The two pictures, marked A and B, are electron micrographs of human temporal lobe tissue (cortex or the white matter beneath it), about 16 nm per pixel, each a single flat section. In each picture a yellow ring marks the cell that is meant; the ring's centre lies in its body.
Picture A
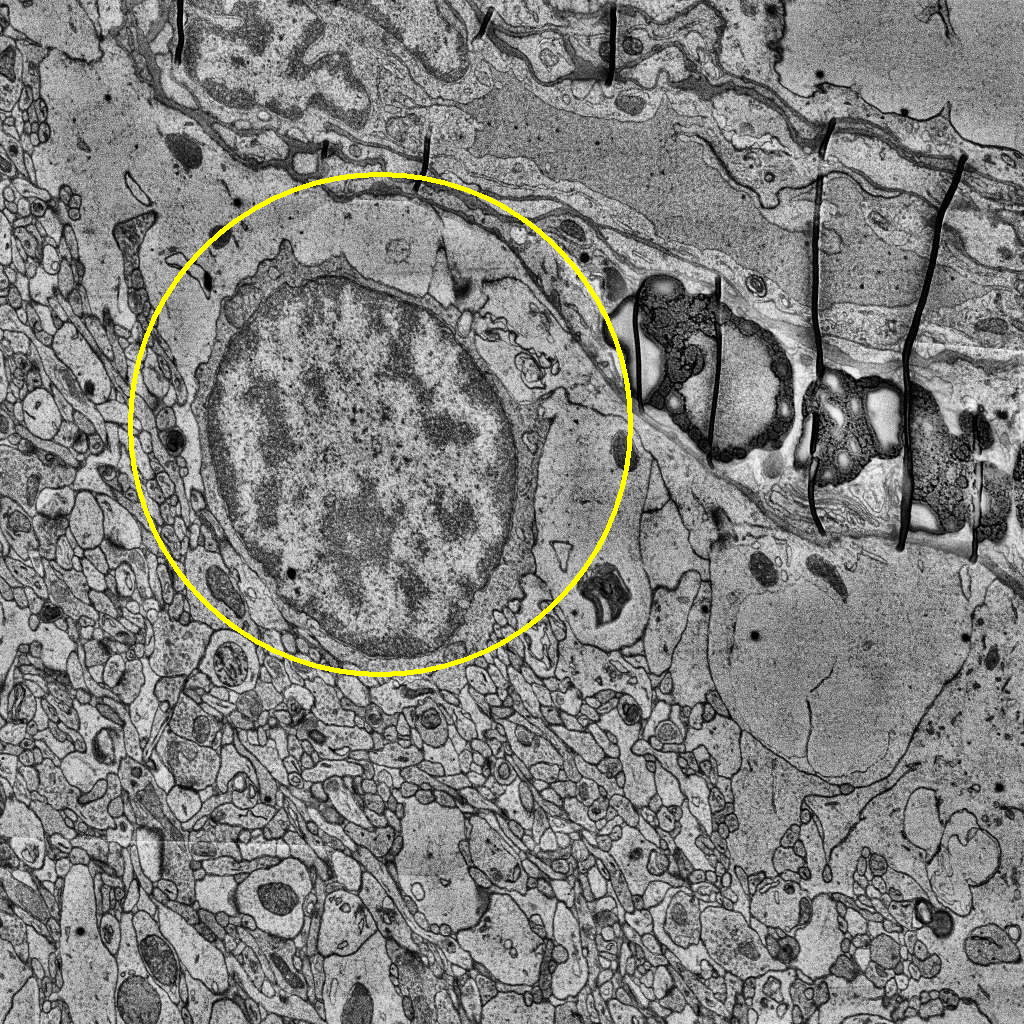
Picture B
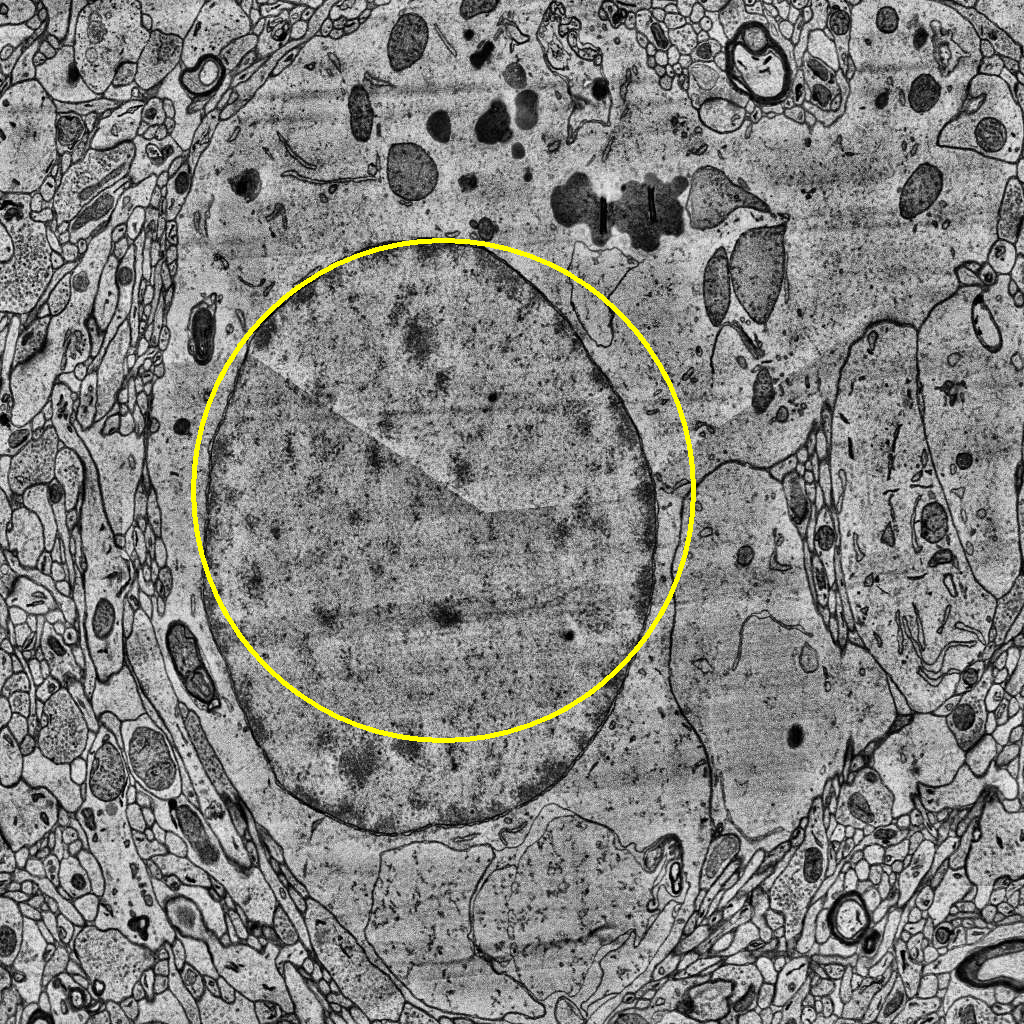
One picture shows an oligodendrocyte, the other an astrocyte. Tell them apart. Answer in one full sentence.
Picture A is of an oligodendrocyte, and picture B is of an astrocyte.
